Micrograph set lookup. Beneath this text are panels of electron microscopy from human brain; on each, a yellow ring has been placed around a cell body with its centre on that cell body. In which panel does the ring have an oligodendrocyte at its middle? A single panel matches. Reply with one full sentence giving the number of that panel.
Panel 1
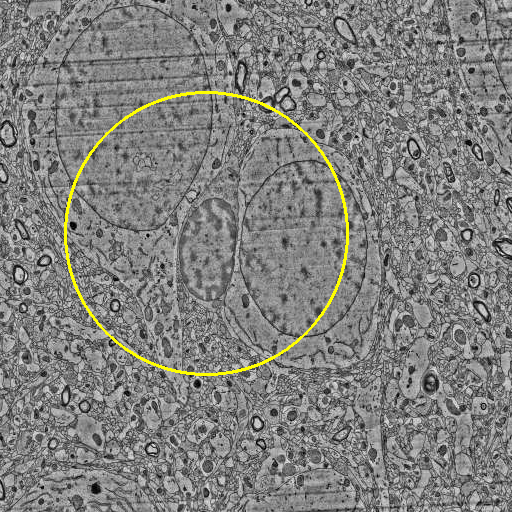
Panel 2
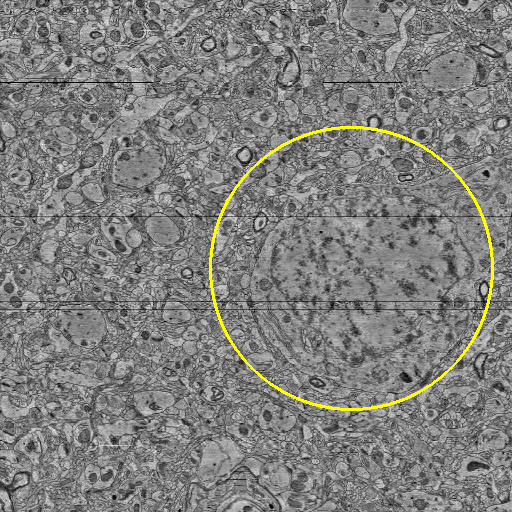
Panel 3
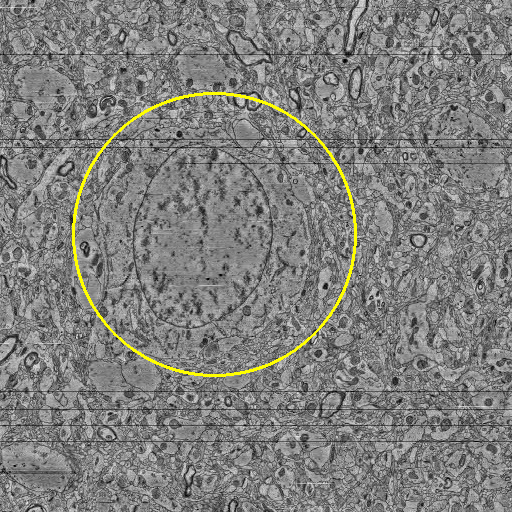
Panel 1 is the one whose ring has the sought cell at its centre.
